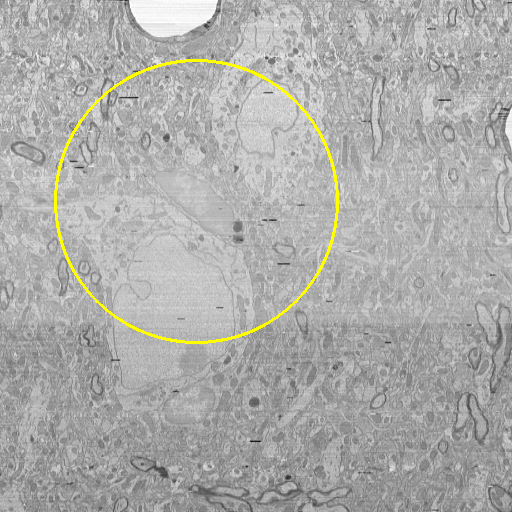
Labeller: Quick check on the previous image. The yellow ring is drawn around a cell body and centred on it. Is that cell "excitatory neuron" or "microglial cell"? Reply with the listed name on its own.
microglial cell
